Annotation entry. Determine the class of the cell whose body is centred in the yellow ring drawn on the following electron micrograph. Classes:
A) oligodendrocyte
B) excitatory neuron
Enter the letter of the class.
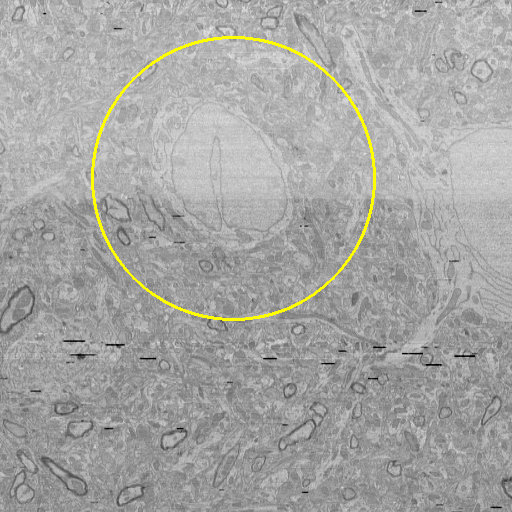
B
